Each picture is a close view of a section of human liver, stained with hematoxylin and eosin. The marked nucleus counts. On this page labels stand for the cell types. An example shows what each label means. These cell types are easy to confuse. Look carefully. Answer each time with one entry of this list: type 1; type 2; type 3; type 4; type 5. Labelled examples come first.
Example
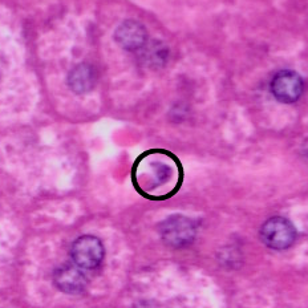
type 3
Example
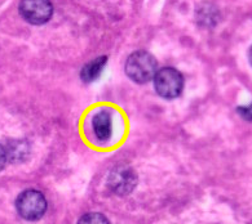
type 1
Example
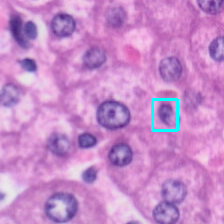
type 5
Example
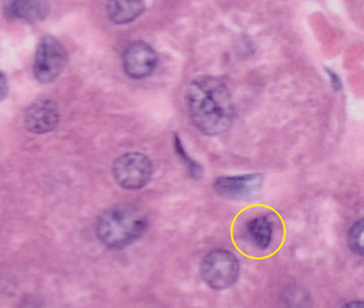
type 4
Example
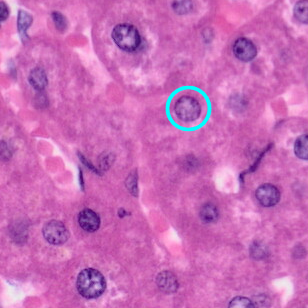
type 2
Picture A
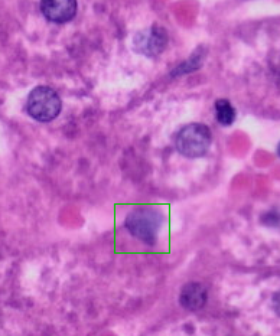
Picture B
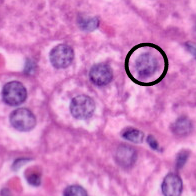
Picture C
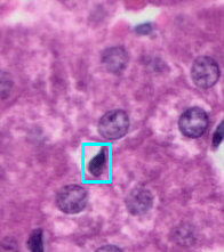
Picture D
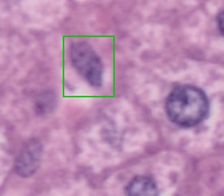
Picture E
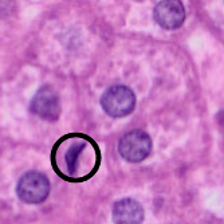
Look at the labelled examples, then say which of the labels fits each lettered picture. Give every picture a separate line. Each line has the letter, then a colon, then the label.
A: type 3
B: type 2
C: type 3
D: type 5
E: type 3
